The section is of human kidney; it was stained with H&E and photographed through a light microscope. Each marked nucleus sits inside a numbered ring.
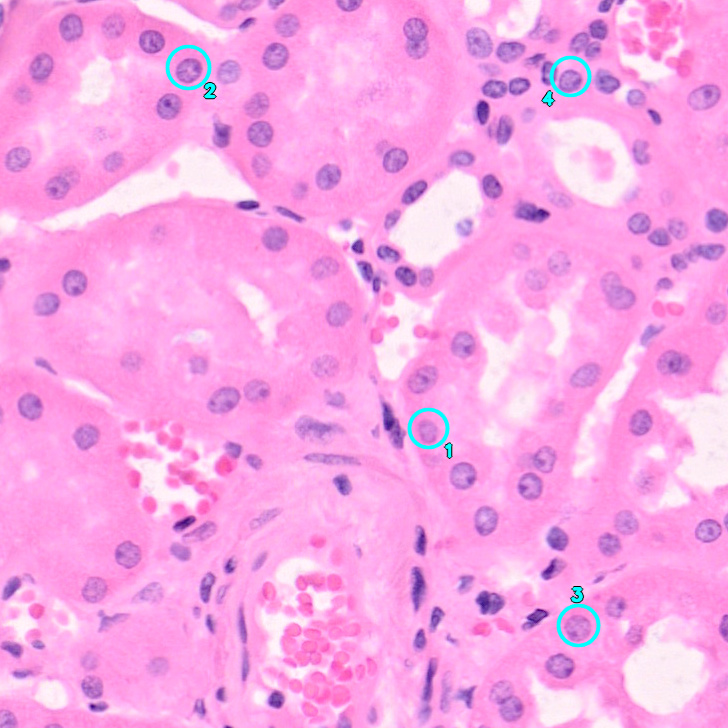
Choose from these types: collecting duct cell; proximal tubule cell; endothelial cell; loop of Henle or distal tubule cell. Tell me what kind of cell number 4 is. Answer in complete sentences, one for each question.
That cell with number 4 is a collecting duct cell.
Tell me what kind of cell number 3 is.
Cell 3 in the field of view is a proximal tubule cell.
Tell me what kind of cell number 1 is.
The cell numbered 1 represents a proximal tubule cell.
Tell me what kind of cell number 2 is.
It is as a proximal tubule cell that the cell numbered 2 is identified.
